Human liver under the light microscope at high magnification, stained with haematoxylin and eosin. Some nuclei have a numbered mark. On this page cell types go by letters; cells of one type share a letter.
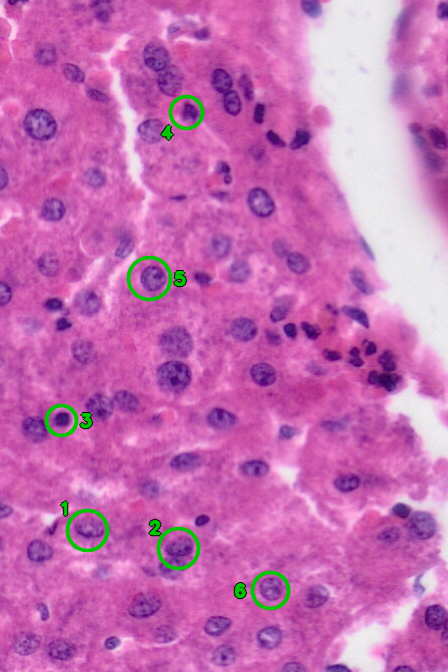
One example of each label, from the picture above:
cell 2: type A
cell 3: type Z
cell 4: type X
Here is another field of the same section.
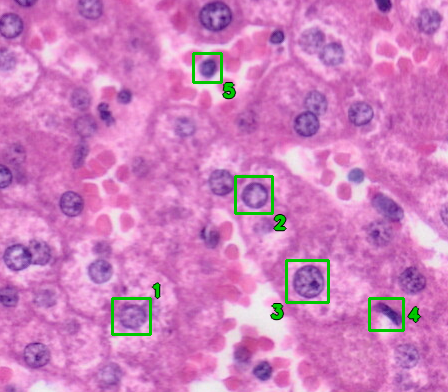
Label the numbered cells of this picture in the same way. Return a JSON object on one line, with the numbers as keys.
{"1": "type A", "2": "type A", "3": "type A", "4": "type X", "5": "type Z"}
